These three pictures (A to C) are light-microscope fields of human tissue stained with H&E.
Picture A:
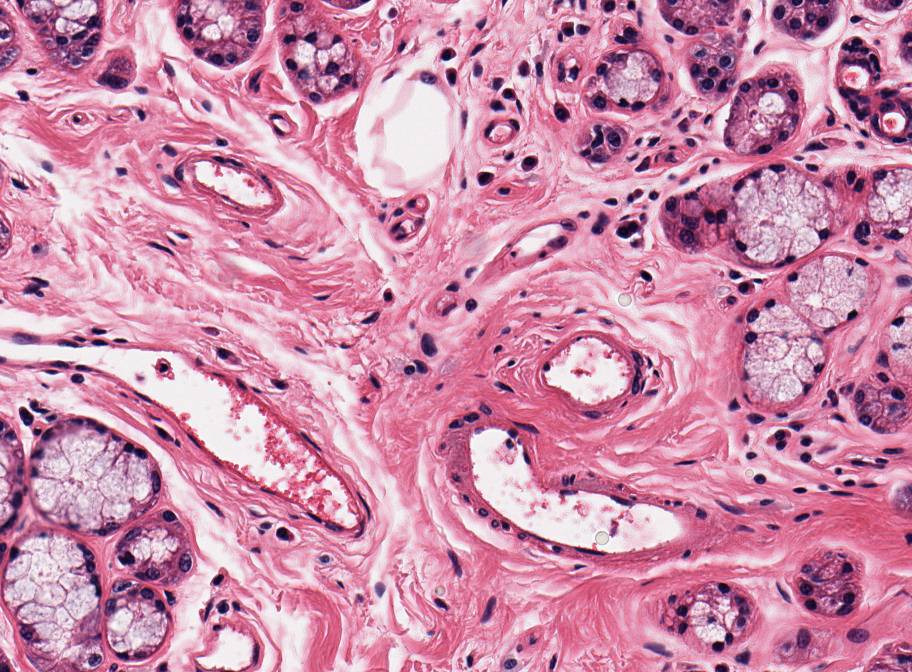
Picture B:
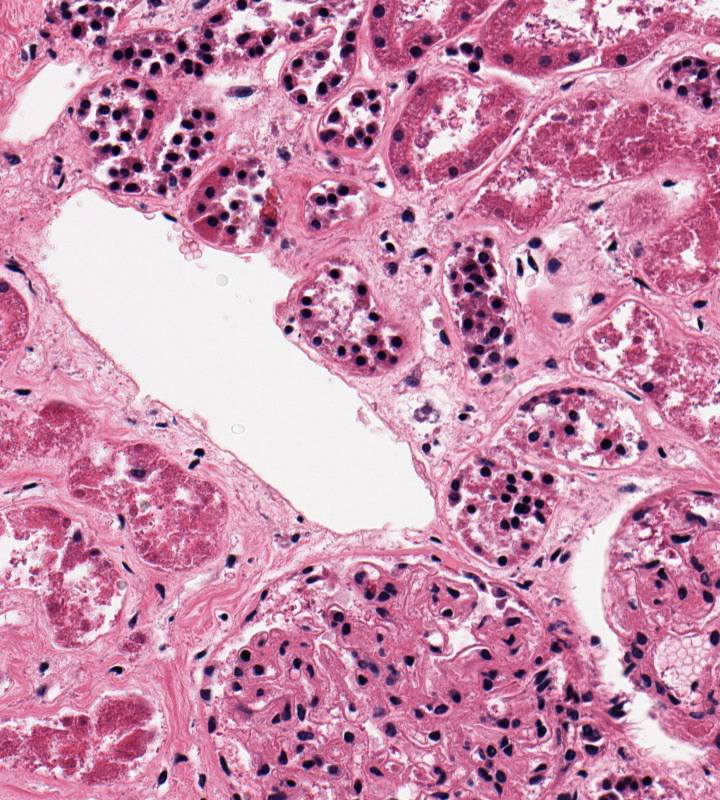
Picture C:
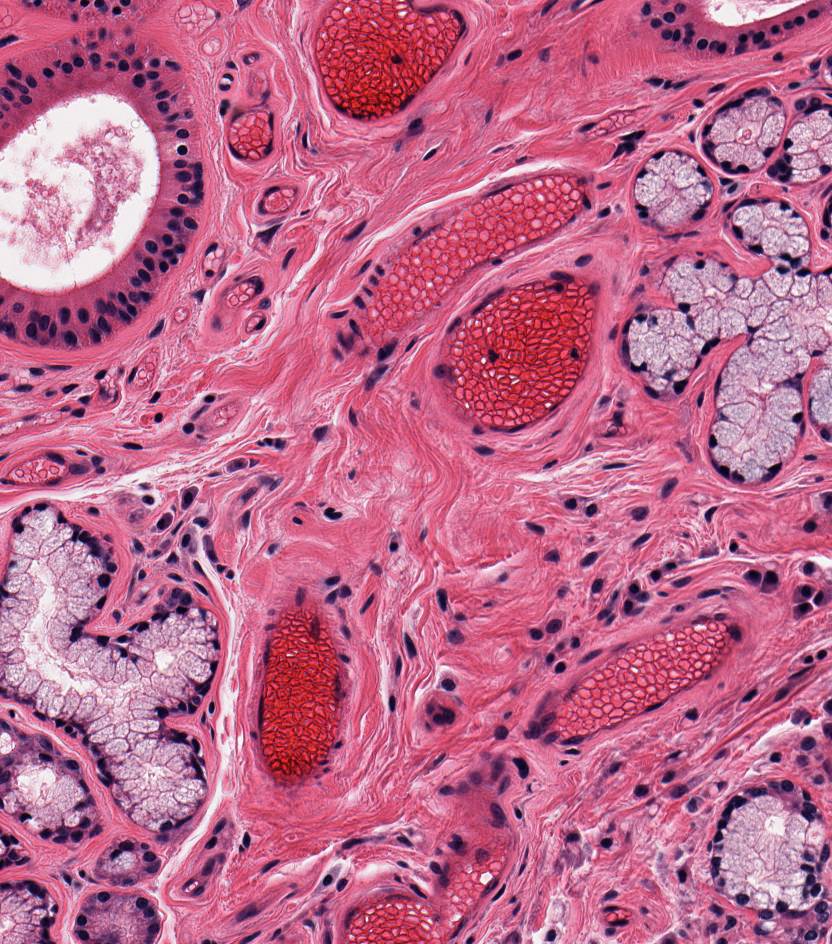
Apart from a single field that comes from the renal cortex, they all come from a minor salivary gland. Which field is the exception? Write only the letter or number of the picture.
B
